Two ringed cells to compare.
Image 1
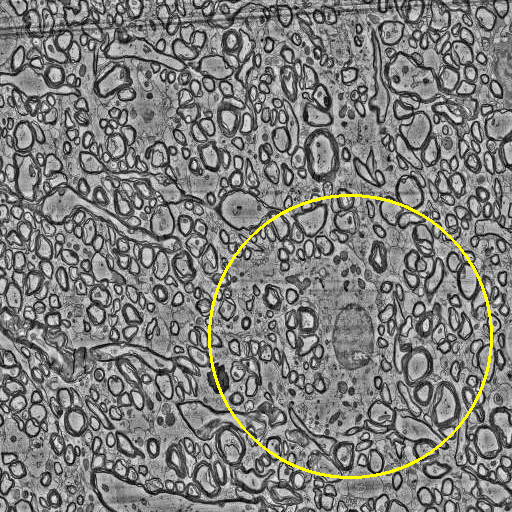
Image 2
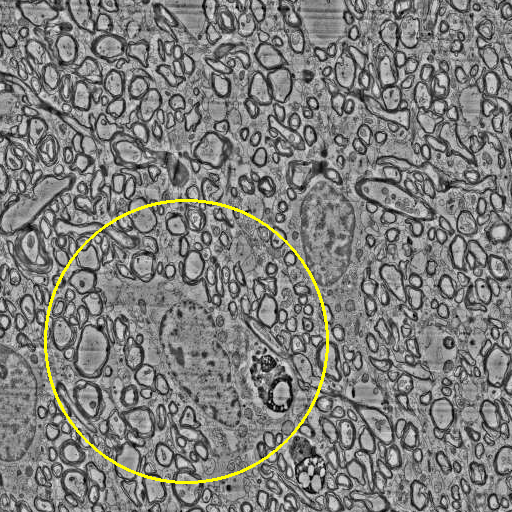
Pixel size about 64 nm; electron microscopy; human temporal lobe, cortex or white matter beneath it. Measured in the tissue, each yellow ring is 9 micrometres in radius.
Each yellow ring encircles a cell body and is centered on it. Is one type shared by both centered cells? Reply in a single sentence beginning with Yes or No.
Yes, a single type is shared by the two cells at the centers of the rings.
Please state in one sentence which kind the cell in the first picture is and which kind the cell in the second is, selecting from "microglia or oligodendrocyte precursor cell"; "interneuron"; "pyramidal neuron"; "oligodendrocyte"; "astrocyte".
The cell in the first picture is an astrocyte, and so is the one in the second.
